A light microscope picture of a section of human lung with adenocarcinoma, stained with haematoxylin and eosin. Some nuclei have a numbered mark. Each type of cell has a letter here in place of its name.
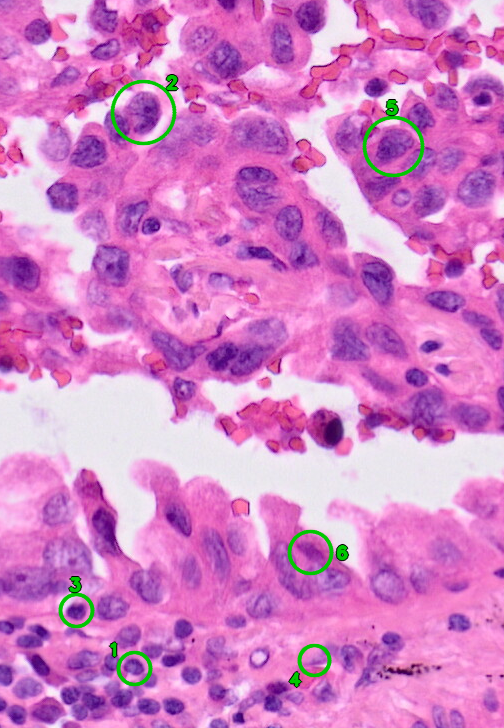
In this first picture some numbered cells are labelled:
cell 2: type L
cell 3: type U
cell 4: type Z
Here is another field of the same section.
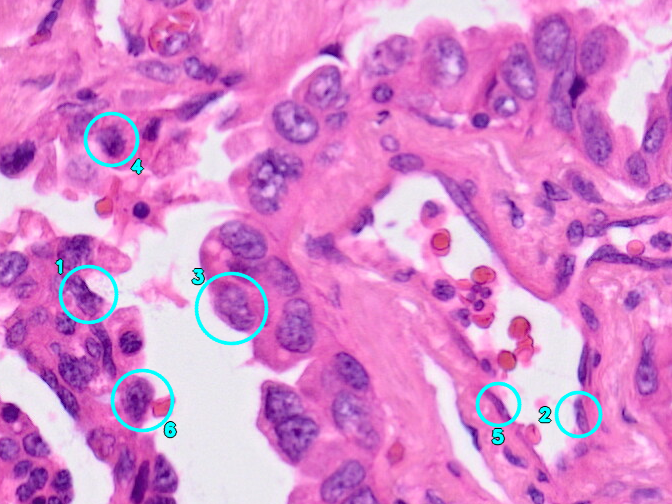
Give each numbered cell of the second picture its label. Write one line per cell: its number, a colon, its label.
1: type L
2: type Z
3: type L
4: type L
5: type Z
6: type L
